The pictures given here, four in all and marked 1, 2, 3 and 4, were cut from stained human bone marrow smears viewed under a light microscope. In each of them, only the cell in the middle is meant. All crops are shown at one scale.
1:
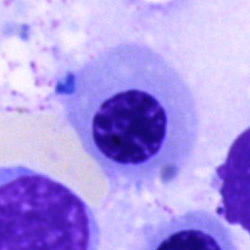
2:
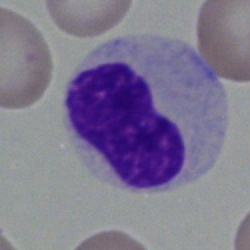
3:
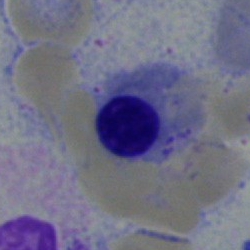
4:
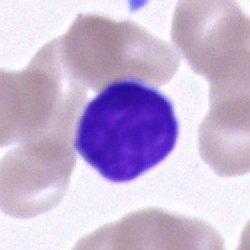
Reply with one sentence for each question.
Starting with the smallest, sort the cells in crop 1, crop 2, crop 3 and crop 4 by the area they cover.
Going up, they run 3, 4, 1, 2.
